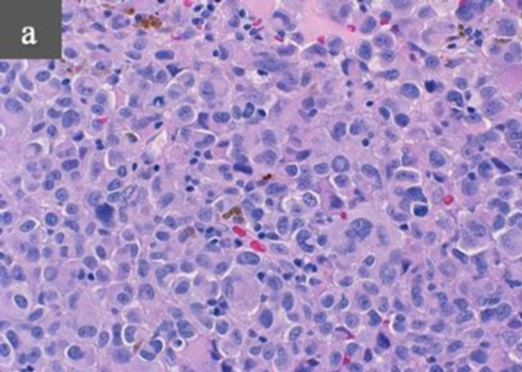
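The section shows a dense sheet of large, loosely cohesive polygonal cells stained with hematoxylin and eosin. Their nuclei are round to oval, vary in size and are often eccentric. Small dark nuclei of scattered smaller cells and a few bright red blood cells lie between the large cells.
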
